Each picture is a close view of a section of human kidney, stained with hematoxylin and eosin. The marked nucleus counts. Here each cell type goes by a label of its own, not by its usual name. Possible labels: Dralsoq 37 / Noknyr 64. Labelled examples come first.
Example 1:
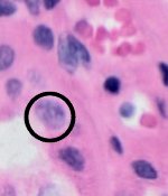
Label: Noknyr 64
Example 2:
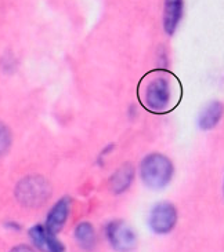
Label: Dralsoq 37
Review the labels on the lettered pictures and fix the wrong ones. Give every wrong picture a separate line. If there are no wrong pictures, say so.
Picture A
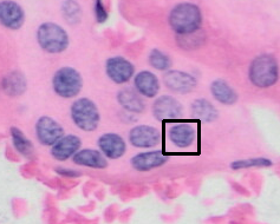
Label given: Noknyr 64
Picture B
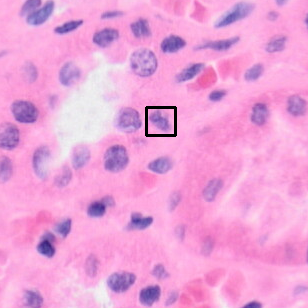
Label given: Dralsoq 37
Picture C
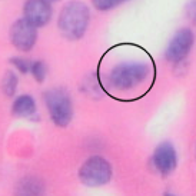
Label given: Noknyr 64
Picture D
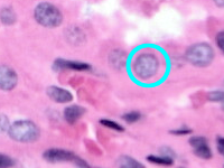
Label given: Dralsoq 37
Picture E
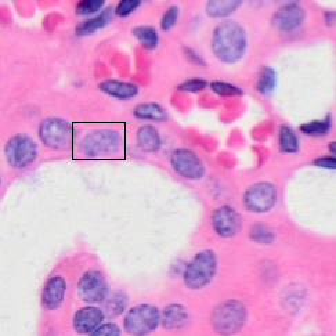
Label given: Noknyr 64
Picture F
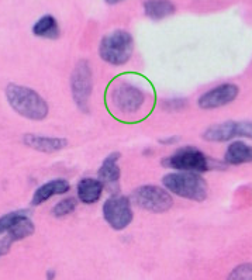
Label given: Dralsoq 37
Nothing to fix; every label fits.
